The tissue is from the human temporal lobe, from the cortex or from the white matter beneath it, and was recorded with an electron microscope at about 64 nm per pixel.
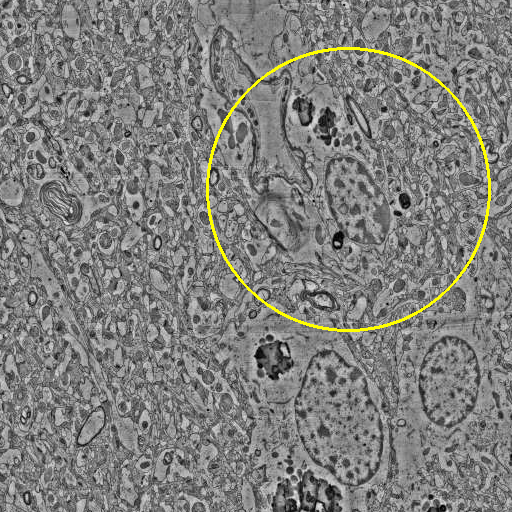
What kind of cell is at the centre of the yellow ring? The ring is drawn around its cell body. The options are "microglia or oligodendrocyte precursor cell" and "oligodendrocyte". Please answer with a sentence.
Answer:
The yellow ring marks the cell body of a microglial cell or oligodendrocyte precursor cell.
